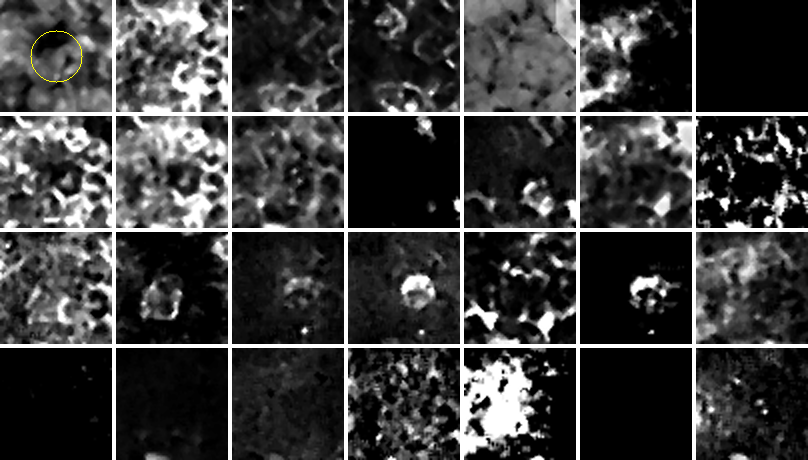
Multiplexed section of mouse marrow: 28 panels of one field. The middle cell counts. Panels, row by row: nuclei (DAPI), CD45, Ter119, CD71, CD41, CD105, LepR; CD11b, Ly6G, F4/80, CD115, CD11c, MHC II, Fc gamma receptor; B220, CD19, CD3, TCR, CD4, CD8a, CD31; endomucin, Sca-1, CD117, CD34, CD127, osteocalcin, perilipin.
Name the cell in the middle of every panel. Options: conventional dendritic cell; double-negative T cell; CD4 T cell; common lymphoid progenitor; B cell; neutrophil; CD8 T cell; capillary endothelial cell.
CD8 T cell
